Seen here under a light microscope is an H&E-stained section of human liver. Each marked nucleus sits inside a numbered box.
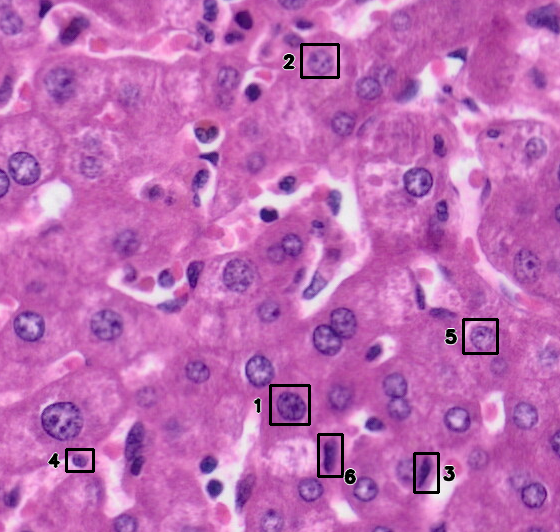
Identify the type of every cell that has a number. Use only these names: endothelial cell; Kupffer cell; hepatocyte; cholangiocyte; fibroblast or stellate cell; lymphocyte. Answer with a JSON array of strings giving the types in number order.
["hepatocyte", "hepatocyte", "fibroblast or stellate cell", "lymphocyte", "hepatocyte", "fibroblast or stellate cell"]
